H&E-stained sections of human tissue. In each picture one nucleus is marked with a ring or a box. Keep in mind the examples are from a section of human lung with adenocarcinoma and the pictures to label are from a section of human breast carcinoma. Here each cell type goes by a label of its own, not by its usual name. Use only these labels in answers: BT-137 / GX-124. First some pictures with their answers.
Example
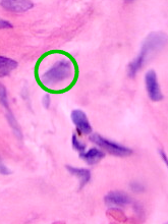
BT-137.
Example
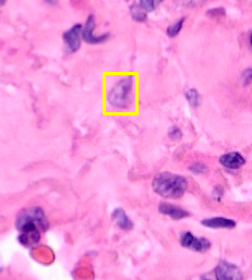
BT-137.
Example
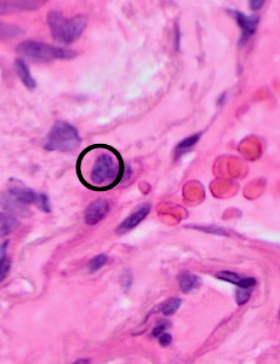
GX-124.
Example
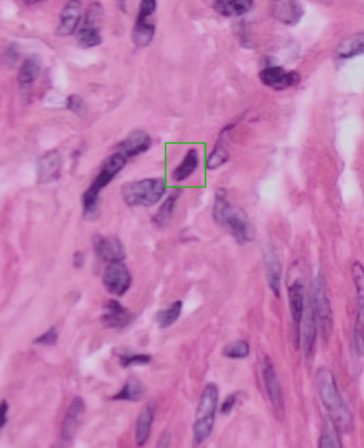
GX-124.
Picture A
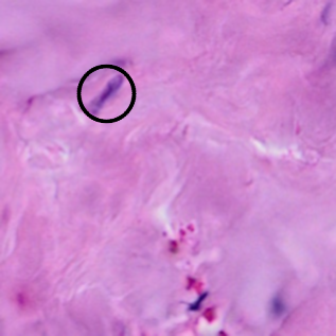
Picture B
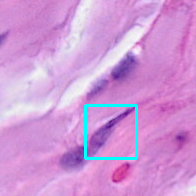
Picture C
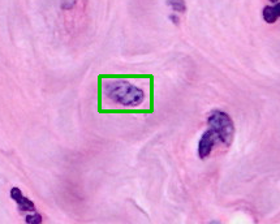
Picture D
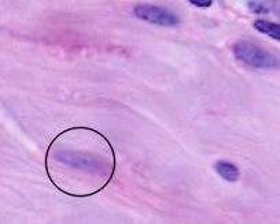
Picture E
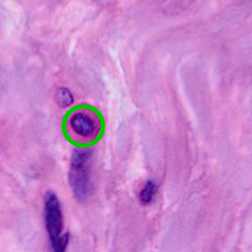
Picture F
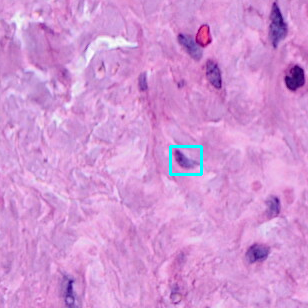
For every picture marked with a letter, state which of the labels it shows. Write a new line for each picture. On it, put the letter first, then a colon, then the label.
A: BT-137.
B: BT-137.
C: GX-124.
D: BT-137.
E: GX-124.
F: BT-137.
